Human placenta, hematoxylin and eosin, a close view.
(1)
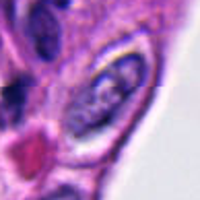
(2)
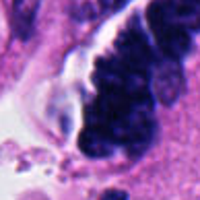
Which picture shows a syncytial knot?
Picture 2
